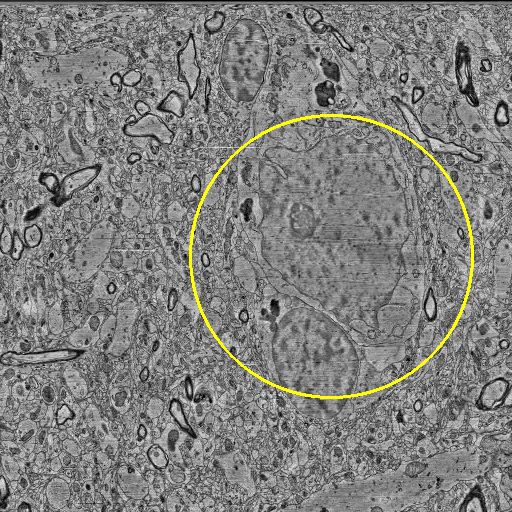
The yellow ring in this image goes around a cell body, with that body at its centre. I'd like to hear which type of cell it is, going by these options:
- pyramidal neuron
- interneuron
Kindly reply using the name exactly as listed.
interneuron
